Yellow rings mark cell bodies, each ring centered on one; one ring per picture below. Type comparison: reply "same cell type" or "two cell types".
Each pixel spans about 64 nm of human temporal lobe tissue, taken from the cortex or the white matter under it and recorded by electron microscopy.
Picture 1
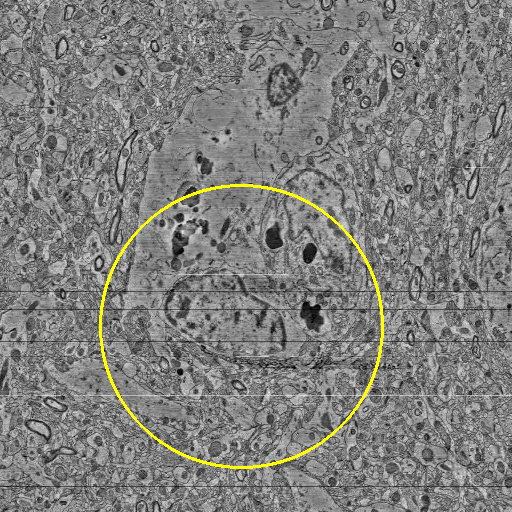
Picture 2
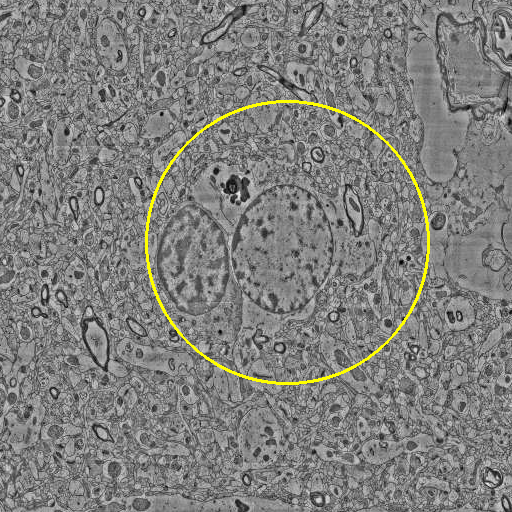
same cell type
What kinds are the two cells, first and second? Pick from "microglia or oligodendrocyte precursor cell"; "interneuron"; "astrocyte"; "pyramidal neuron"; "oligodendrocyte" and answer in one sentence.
In each of the two pictures, the ringed cell is an astrocyte.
